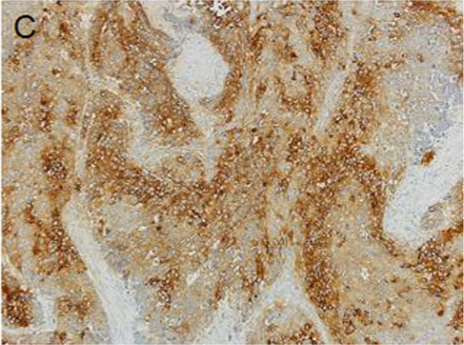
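This is a section of densely cellular tissue. Broad, irregular trabeculae and nests of cells are divided by pale, loose fibrous stroma. Much of the cell mass shows intense brown staining, which is cytoplasmic and in places granular or along the cell borders. The staining is patchy, with strongly brown zones lying beside paler, weakly stained areas within the same cell nests. The stromal bands between the nests remain pale and largely unstained. The nuclei are hard to make out under the heavy brown colour.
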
